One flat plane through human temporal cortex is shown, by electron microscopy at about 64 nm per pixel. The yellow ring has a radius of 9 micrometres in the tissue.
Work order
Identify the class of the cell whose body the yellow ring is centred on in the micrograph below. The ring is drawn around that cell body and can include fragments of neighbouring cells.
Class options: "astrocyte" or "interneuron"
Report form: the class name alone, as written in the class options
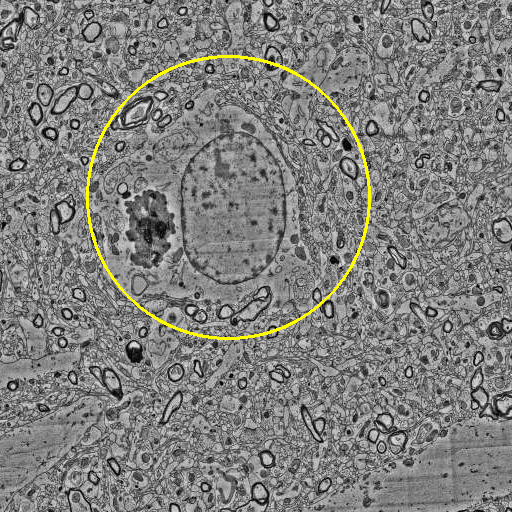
astrocyte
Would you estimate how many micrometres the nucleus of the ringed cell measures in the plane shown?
In this plane, about 10 micrometres in length and 7 in width.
